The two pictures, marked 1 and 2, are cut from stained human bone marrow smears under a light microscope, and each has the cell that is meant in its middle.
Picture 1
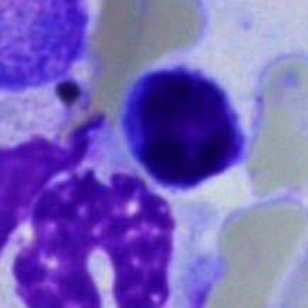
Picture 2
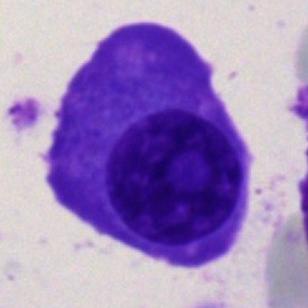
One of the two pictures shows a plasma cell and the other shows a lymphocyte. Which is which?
1: lymphocyte
2: plasma cell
